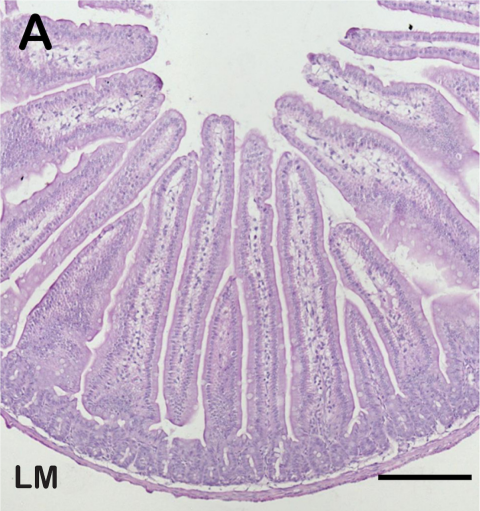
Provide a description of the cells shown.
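This is a curved cross-section of the wall of the small intestine, with long, slender finger-like villi radiating from the wall into the lumen. Each villus is lined by a single layer of tall columnar epithelial cells whose purple nuclei line up in a row, surrounding a paler core of loose connective tissue with scattered nuclei. At the base of the villi a dense band of tubular crypts sits in the mucosa, their cells more crowded and darker purple. Beneath the crypts a thin pink layer of smooth muscle forms the outer edge of the wall.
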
